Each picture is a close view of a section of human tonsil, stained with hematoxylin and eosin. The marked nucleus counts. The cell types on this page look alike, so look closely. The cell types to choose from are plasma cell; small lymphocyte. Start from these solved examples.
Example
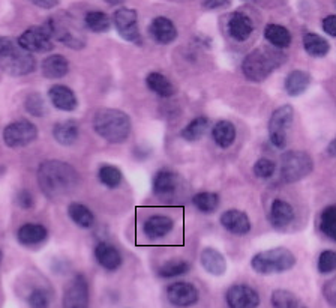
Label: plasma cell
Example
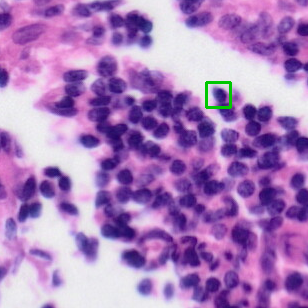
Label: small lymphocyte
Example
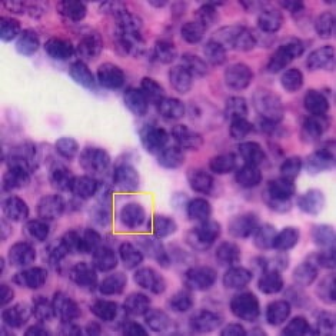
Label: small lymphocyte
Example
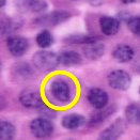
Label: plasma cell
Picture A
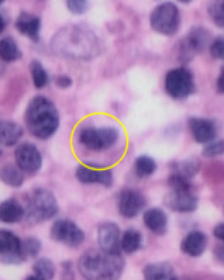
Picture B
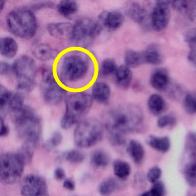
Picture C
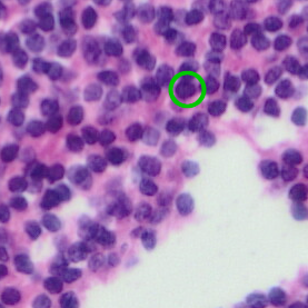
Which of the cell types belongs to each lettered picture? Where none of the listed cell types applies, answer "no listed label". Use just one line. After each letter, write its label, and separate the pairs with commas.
A no listed label, B no listed label, C small lymphocyte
